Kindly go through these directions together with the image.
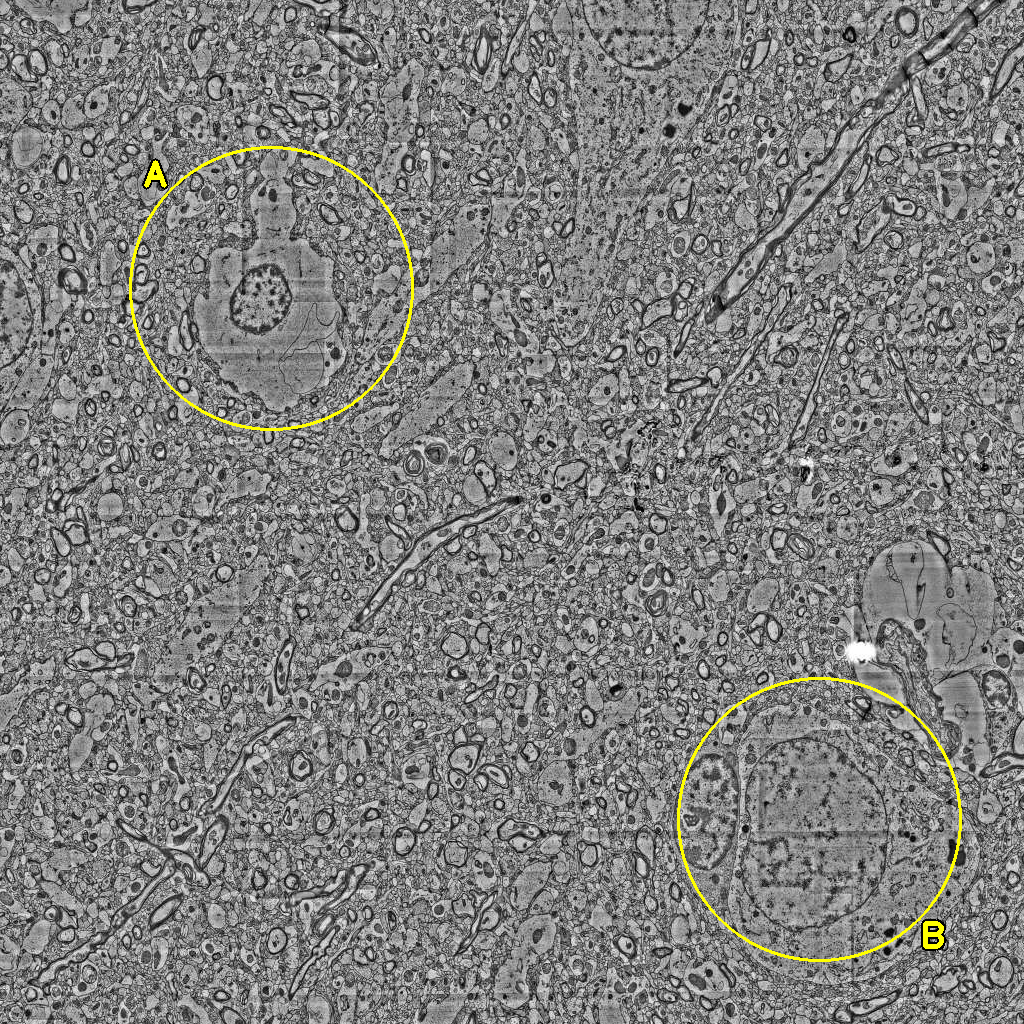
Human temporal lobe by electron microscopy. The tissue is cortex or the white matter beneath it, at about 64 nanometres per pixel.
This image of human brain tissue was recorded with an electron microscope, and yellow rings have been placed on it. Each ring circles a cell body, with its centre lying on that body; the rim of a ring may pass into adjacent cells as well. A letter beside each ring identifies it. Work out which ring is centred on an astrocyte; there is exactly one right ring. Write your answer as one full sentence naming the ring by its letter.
Ring A is the one whose centre lies on a cell of that kind.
